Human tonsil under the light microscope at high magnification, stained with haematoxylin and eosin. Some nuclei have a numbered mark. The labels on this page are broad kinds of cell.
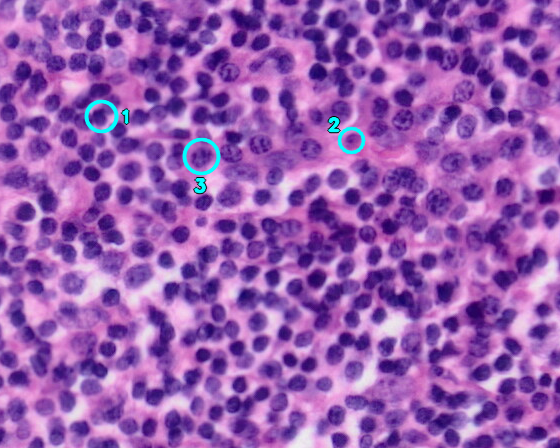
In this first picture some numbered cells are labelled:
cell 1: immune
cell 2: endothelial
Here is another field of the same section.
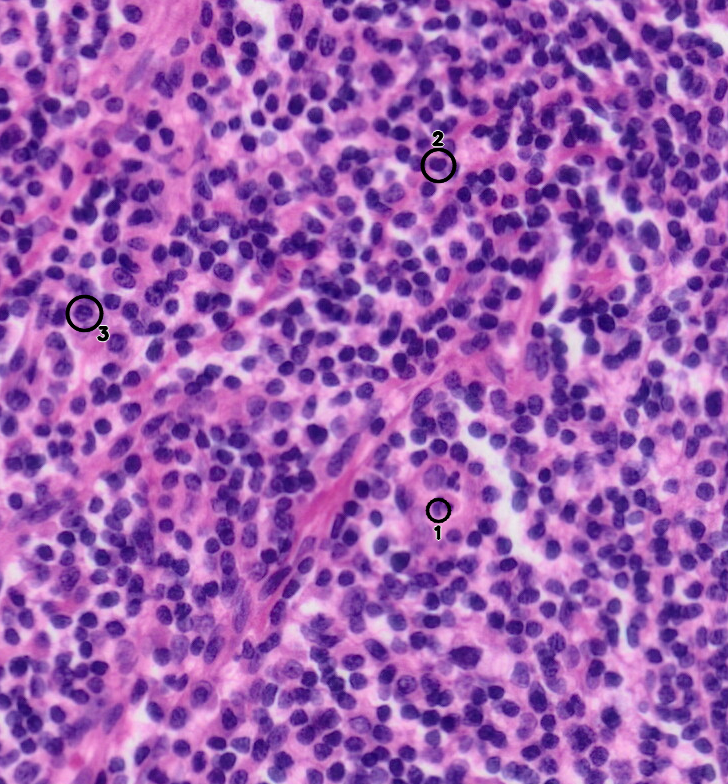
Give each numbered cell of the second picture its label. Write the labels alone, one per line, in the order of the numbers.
endothelial
immune
immune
